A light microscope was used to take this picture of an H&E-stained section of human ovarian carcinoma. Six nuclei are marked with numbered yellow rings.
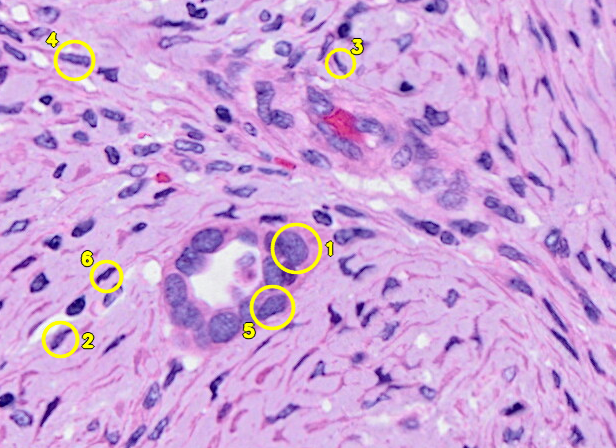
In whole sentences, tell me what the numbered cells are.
Cells 1 and 5 are carcinoma cells. Cells 2, 3, 4 and 6 are fibroblasts.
